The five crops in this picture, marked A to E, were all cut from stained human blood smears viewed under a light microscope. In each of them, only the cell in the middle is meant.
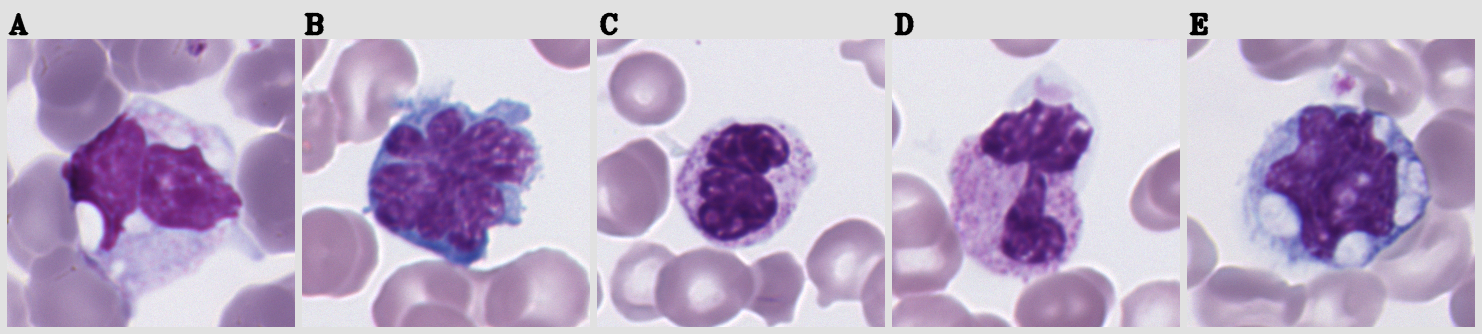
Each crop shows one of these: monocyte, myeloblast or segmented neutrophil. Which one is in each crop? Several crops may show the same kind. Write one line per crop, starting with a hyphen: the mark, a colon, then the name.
- A: monocyte
- B: monocyte
- C: segmented neutrophil
- D: segmented neutrophil
- E: monocyte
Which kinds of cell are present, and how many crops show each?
monocyte: 3
segmented neutrophil: 2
